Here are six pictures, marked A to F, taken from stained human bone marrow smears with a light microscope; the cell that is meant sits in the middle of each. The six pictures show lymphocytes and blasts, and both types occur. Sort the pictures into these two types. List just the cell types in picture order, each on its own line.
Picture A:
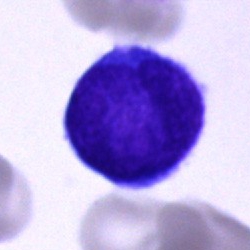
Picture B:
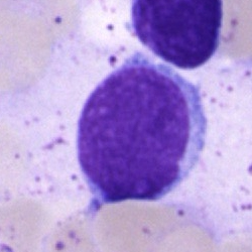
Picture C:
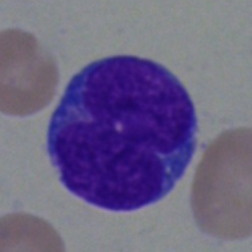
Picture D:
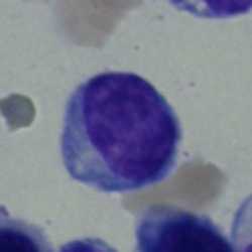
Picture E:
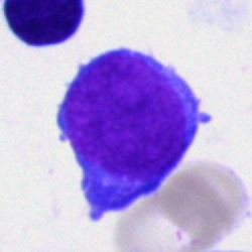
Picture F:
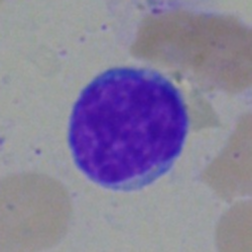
blast
blast
blast
lymphocyte
blast
lymphocyte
